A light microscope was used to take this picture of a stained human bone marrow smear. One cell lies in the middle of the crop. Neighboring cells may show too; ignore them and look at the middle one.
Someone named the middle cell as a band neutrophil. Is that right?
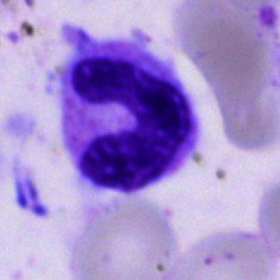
yes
